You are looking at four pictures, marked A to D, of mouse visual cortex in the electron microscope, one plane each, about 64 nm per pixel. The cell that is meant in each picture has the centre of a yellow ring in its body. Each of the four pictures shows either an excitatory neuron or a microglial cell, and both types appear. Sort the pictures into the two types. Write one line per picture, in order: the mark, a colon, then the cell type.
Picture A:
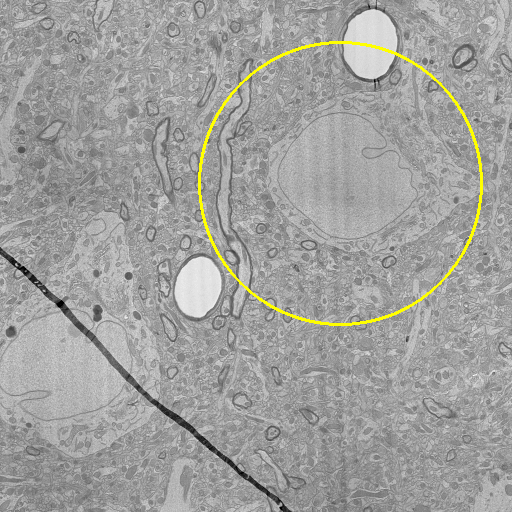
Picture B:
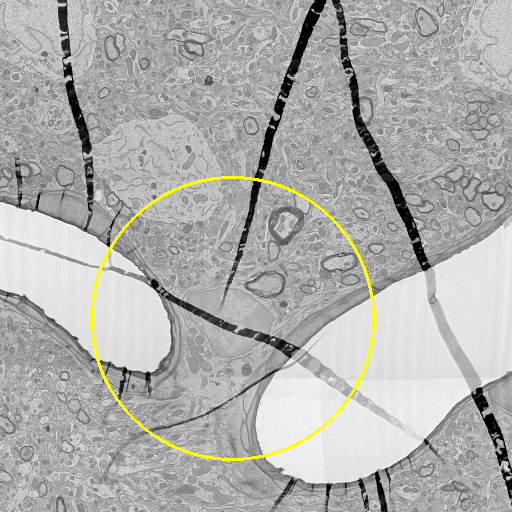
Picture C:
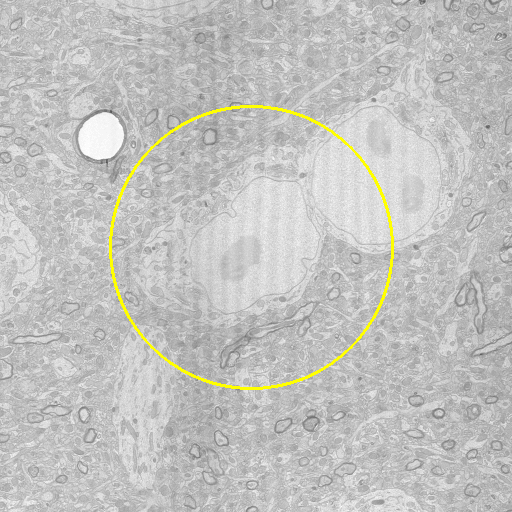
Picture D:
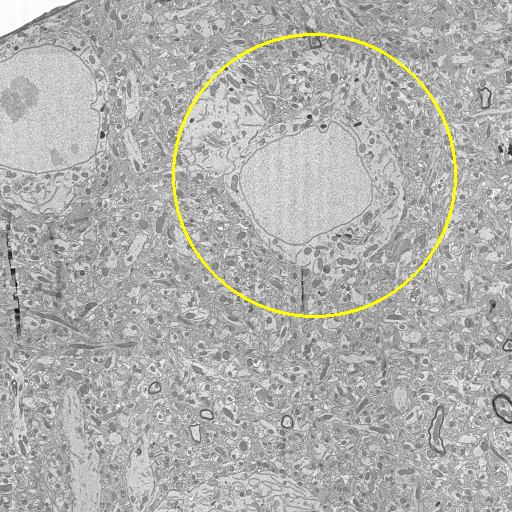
A: excitatory neuron
B: microglial cell
C: excitatory neuron
D: excitatory neuron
